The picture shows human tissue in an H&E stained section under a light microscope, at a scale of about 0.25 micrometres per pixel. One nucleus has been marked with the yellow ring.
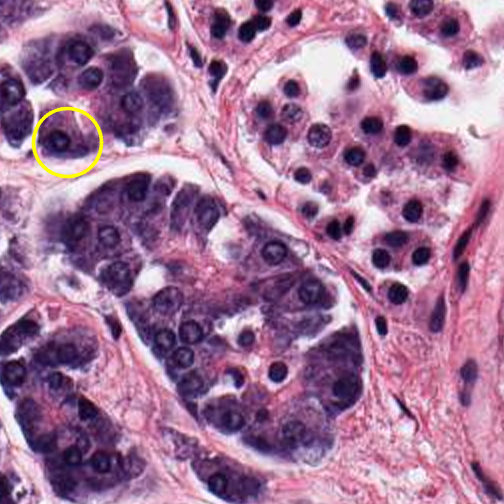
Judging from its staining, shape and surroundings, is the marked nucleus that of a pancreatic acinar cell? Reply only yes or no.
yes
